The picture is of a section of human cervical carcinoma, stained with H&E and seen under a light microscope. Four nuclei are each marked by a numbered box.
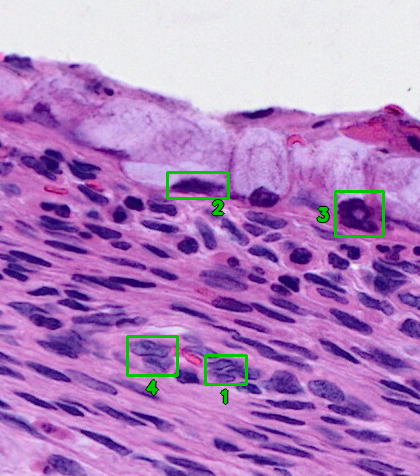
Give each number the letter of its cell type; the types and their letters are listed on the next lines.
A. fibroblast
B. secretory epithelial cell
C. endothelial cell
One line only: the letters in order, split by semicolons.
C; B; B; C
